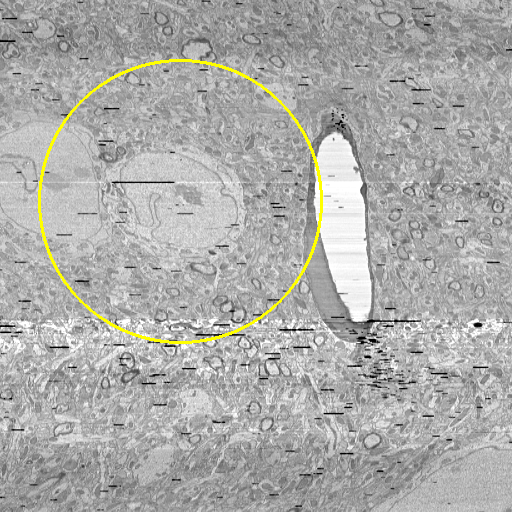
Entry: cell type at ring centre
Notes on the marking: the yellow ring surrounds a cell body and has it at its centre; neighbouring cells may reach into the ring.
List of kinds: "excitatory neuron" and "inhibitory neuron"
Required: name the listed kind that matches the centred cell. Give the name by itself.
inhibitory neuron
